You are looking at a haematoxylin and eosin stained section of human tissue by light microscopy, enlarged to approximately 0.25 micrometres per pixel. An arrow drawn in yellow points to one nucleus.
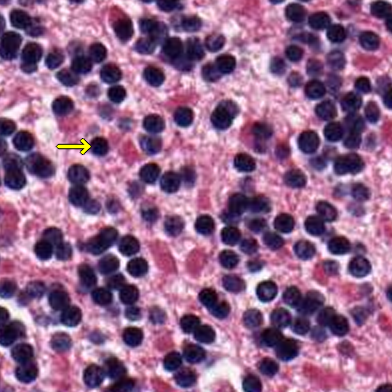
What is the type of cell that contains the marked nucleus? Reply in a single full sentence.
The marked nucleus is recognized as the nucleus of a cerebellar granule cell.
